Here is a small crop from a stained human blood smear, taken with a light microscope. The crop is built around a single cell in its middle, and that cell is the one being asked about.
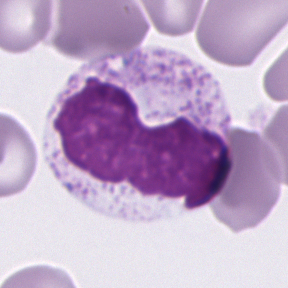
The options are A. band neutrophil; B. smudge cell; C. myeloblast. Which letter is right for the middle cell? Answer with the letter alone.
A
